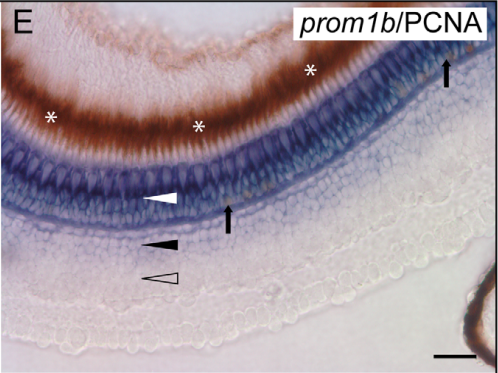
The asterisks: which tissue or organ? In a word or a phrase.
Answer: Retinal pigmented (dark brown) epithelium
